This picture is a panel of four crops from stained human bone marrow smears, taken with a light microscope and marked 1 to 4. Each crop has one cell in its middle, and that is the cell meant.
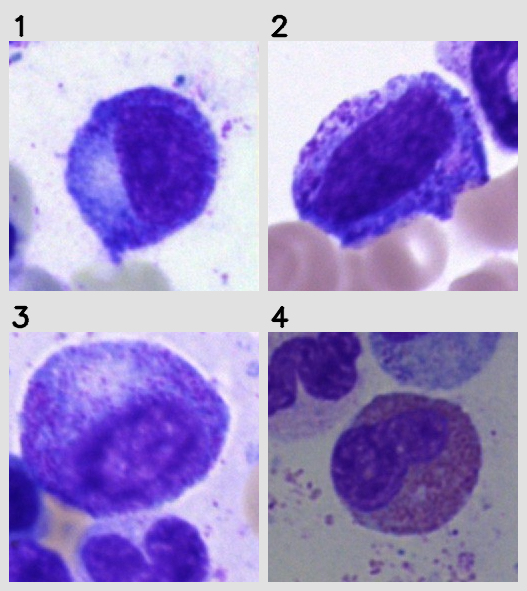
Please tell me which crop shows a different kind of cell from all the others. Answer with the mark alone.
4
